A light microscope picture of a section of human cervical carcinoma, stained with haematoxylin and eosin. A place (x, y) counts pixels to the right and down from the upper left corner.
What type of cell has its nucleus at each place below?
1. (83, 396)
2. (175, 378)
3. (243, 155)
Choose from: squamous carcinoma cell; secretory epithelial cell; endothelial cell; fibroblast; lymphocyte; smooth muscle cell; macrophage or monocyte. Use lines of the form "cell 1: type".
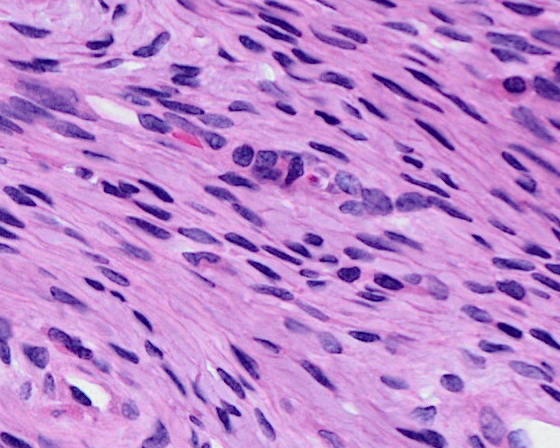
cell 1: endothelial cell
cell 2: fibroblast
cell 3: endothelial cell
